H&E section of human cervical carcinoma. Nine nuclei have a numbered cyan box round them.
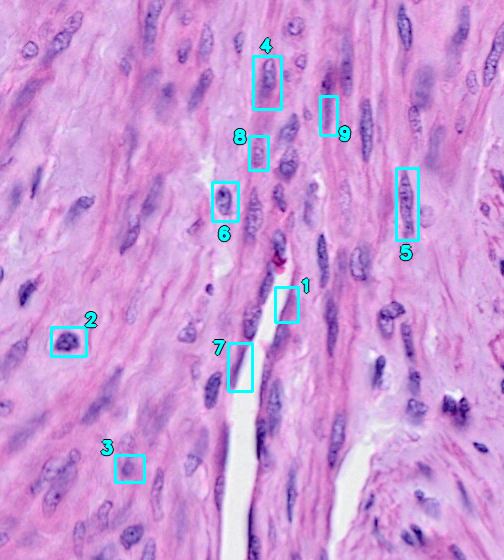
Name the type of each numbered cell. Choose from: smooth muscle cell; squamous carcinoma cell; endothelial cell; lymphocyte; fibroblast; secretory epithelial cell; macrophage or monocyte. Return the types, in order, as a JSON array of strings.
["endothelial cell", "lymphocyte", "smooth muscle cell", "smooth muscle cell", "smooth muscle cell", "lymphocyte", "endothelial cell", "smooth muscle cell", "smooth muscle cell"]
